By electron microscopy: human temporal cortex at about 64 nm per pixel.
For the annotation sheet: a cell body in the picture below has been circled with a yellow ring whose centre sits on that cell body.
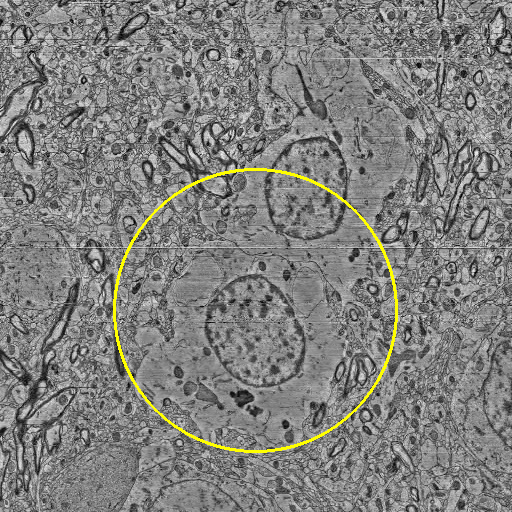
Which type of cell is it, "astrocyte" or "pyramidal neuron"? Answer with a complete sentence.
The circled cell is an astrocyte.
